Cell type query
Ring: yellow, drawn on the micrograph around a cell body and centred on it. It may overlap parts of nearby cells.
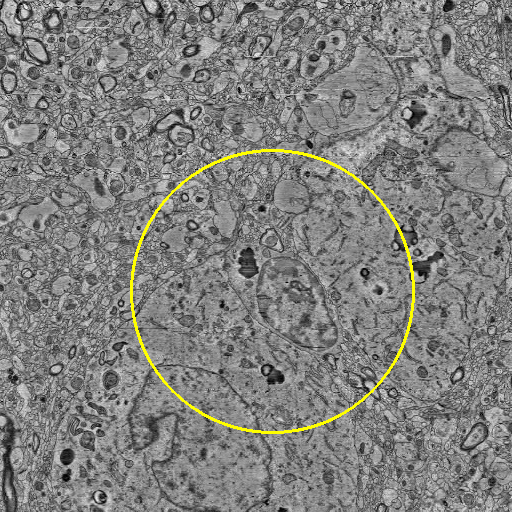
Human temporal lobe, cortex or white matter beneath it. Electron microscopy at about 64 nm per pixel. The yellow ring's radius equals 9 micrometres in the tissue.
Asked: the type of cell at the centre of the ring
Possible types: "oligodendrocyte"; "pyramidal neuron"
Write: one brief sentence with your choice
The ring marks an oligodendrocyte.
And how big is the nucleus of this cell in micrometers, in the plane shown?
About 7 by 4 micrometres; in this plane the nucleus is clearly longer than it is wide.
